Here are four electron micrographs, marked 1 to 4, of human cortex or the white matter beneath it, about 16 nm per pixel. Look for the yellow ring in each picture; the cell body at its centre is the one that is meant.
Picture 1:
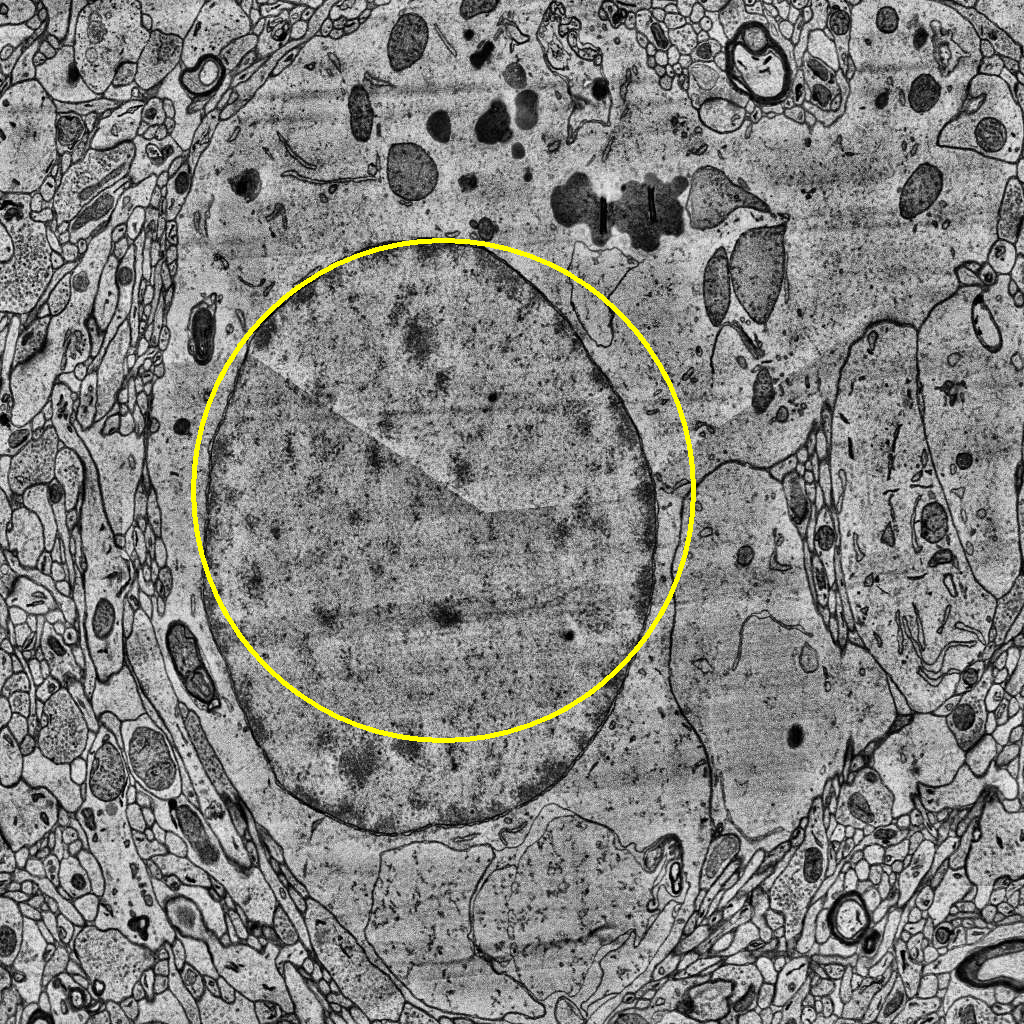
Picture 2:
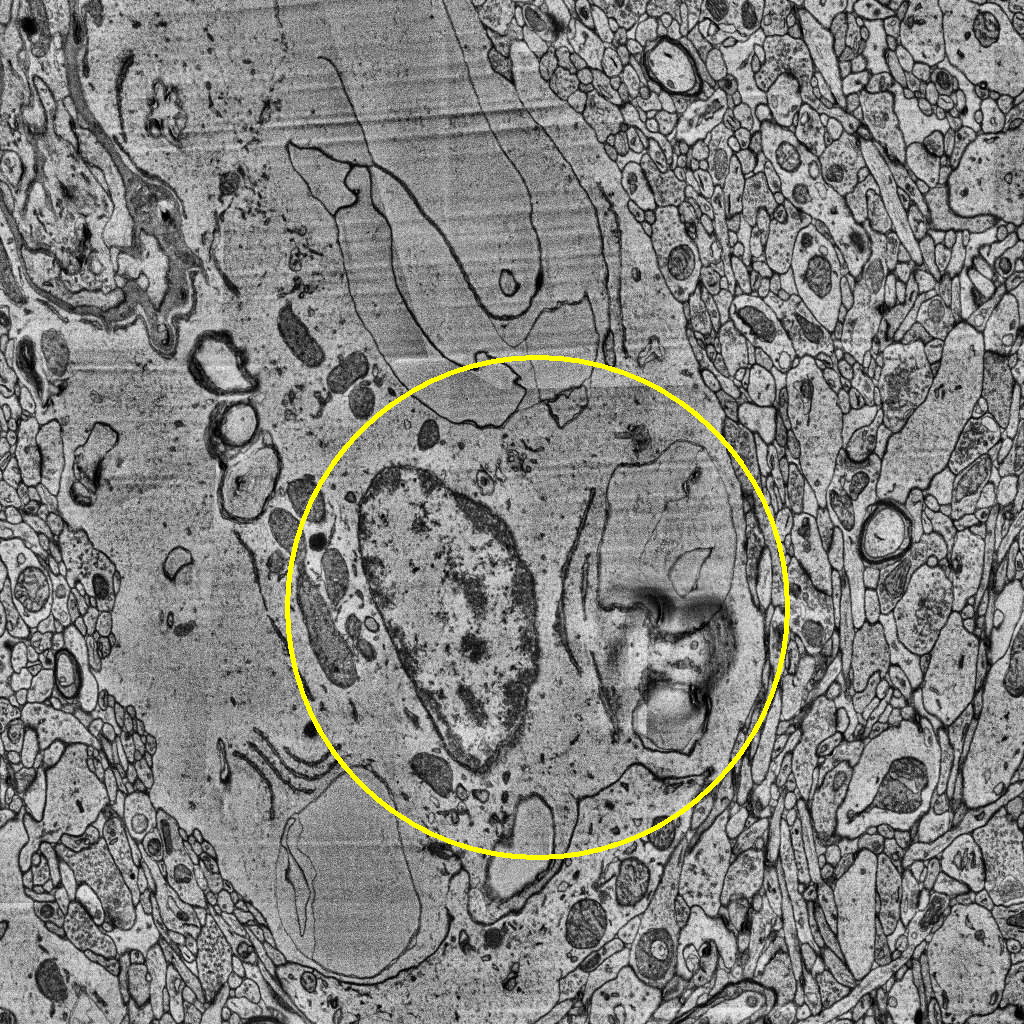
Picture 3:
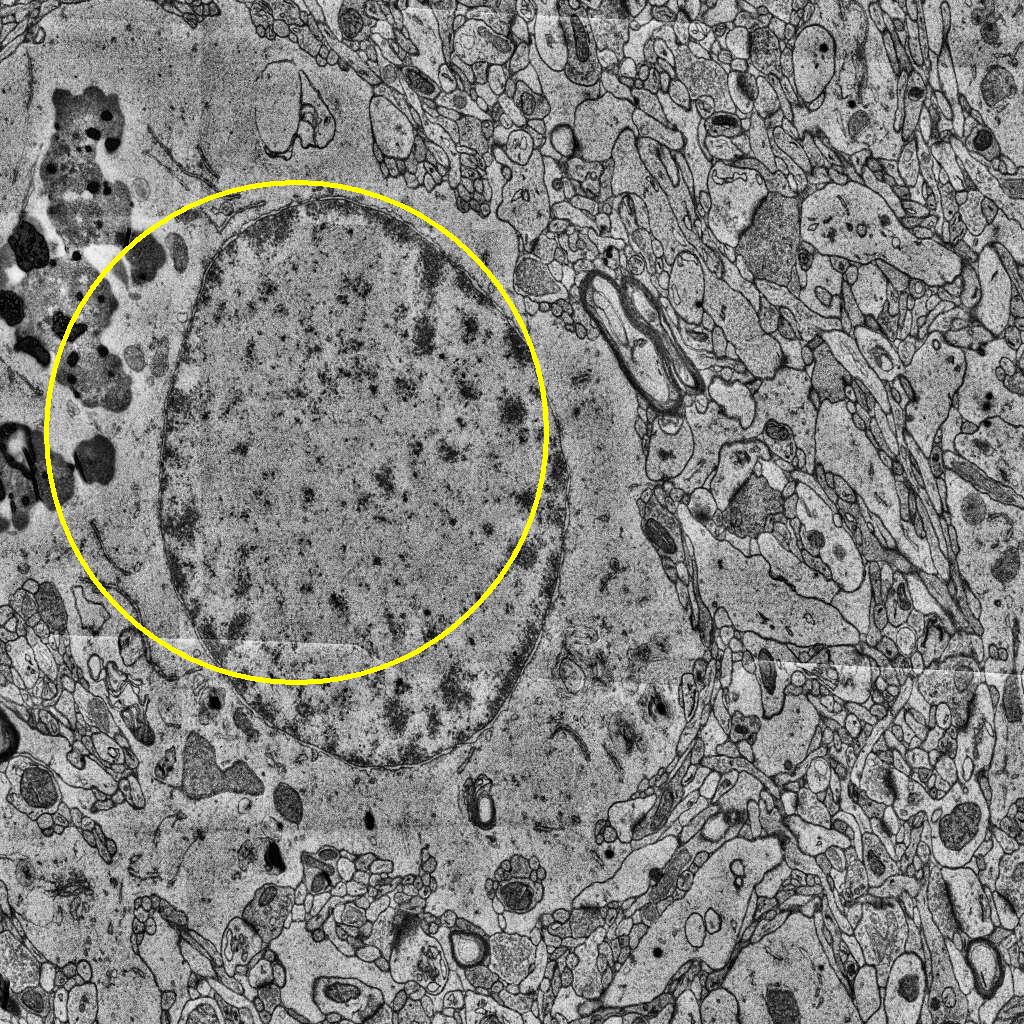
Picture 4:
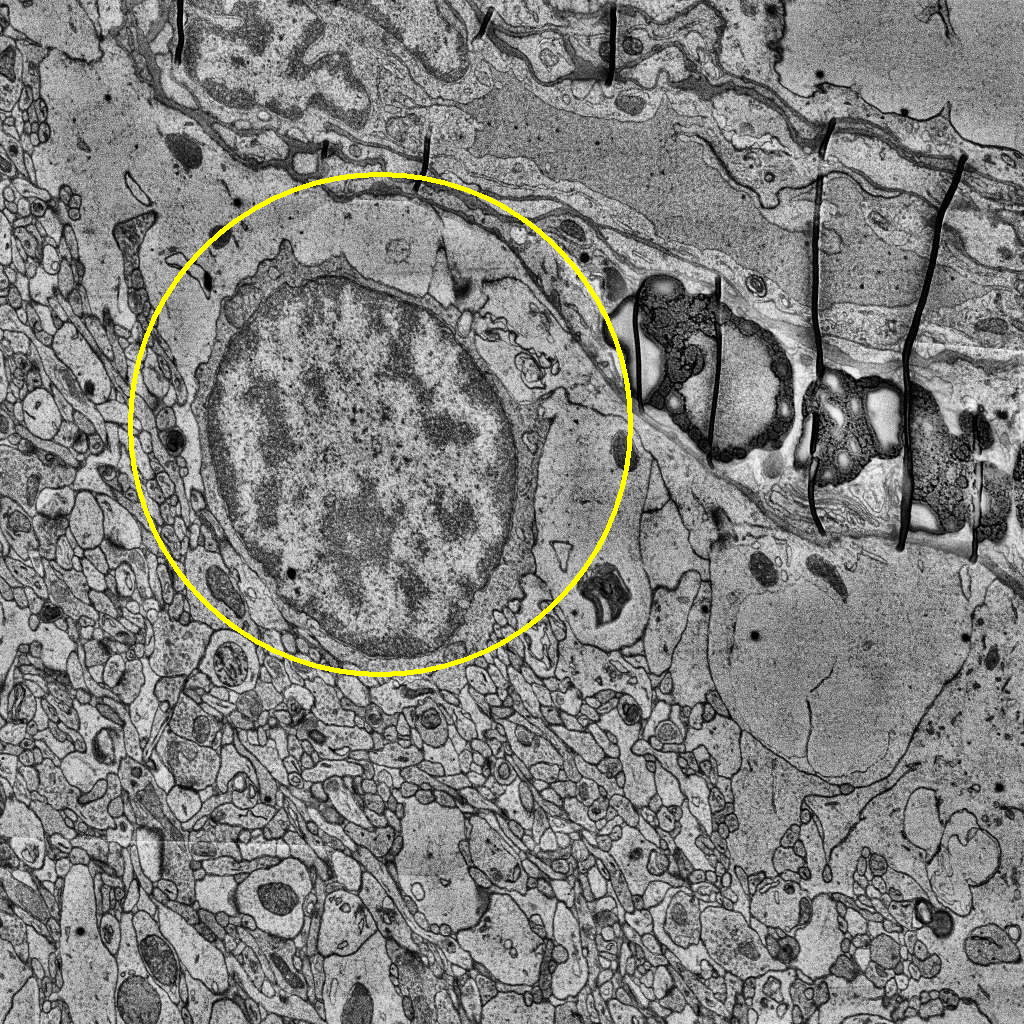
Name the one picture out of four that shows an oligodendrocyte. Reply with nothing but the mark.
4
